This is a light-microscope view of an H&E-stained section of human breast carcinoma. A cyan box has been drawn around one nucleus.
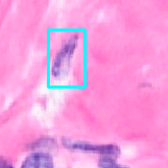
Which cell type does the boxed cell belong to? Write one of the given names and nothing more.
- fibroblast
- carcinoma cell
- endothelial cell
fibroblast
